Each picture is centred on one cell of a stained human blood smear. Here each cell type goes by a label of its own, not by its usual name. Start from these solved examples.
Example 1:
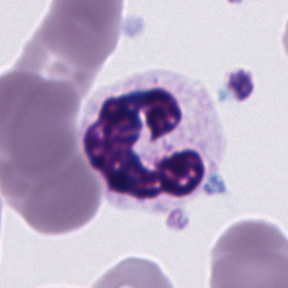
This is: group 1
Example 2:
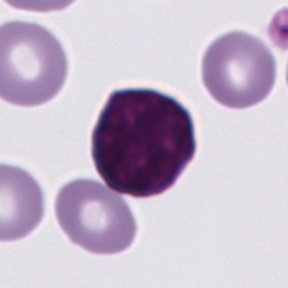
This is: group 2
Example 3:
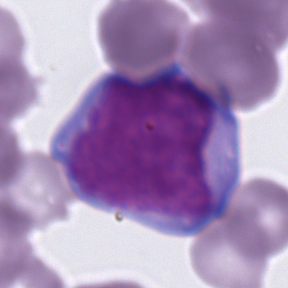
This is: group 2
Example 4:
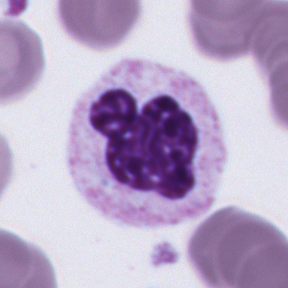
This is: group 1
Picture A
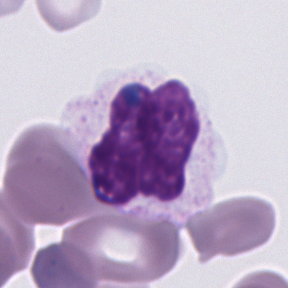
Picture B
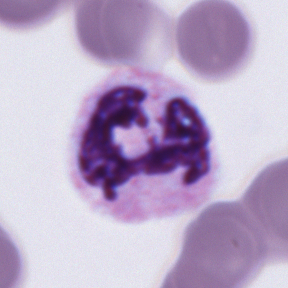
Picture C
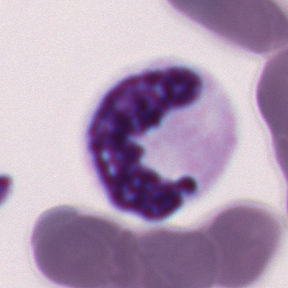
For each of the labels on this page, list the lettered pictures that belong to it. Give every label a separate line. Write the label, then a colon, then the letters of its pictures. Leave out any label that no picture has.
group 1: A, B, C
